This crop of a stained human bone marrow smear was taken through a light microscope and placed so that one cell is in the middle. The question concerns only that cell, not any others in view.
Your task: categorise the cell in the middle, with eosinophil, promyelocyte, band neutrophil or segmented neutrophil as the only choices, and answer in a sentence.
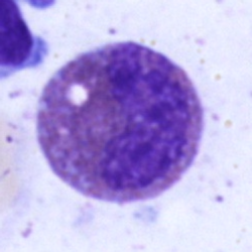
On this slide crop, the central cell is an eosinophil.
